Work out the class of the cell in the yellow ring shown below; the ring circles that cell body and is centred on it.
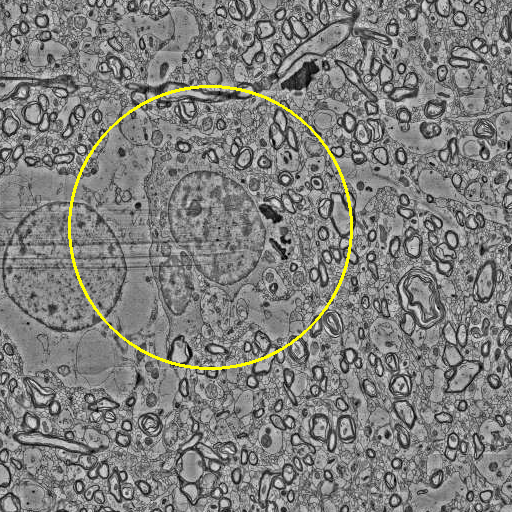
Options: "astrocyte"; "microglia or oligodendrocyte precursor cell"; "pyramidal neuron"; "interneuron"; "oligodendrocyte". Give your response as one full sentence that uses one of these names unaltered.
The body ringed in yellow, right at the ring's centre, is that of an oligodendrocyte.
